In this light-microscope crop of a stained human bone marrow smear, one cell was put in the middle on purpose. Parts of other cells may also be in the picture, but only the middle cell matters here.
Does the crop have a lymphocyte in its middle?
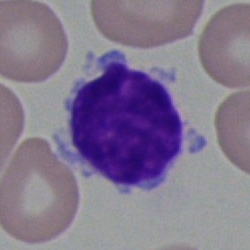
yes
